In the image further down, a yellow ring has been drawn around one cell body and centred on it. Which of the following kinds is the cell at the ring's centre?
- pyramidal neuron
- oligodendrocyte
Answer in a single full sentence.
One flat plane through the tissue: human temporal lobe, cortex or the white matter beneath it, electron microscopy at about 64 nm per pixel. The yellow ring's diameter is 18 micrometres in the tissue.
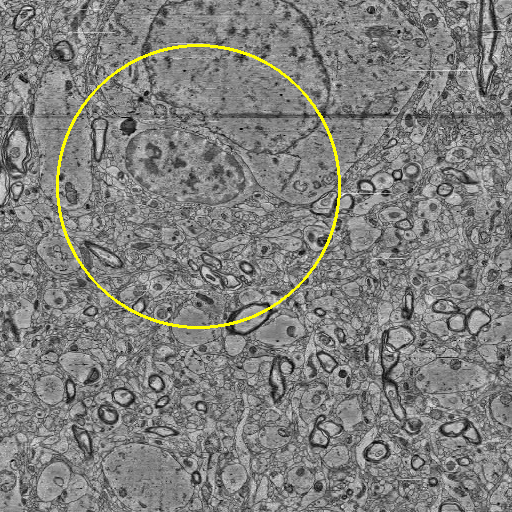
In the picture, the cell sitting at the centre of the yellow ring is an oligodendrocyte.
